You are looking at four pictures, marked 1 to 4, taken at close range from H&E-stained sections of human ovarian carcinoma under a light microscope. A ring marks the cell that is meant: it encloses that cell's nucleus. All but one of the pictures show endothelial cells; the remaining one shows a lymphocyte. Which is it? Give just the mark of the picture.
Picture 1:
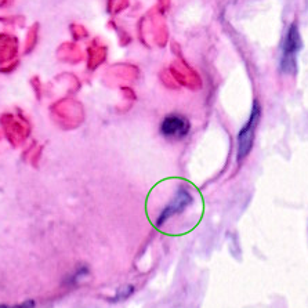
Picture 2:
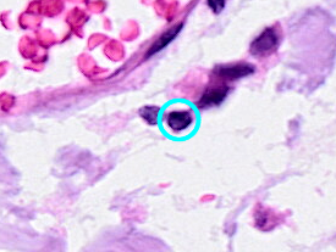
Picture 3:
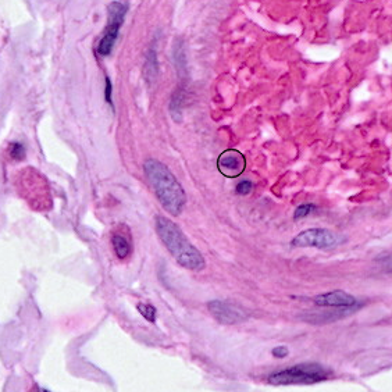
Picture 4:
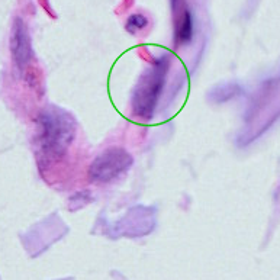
2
